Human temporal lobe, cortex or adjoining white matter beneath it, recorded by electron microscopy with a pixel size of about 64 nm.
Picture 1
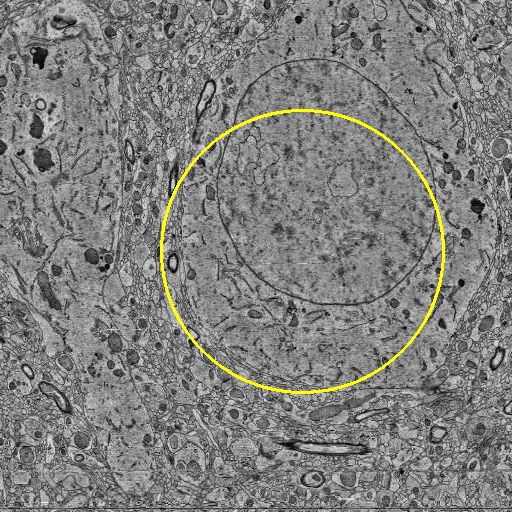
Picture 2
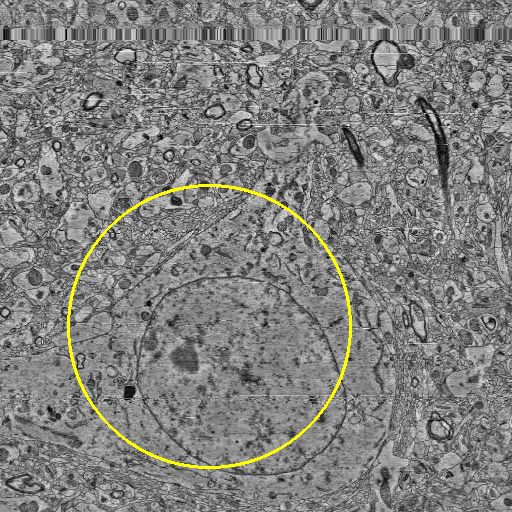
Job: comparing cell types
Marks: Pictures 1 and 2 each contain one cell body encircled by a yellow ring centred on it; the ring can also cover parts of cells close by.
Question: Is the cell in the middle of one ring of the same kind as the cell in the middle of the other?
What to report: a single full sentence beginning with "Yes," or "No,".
Yes, the cell at the ring centre in Picture 1 and its partner in Picture 2 are of one kind.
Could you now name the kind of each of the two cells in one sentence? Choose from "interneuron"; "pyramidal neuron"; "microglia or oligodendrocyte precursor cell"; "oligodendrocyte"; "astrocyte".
In both pictures the ring is centred on a pyramidal neuron.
